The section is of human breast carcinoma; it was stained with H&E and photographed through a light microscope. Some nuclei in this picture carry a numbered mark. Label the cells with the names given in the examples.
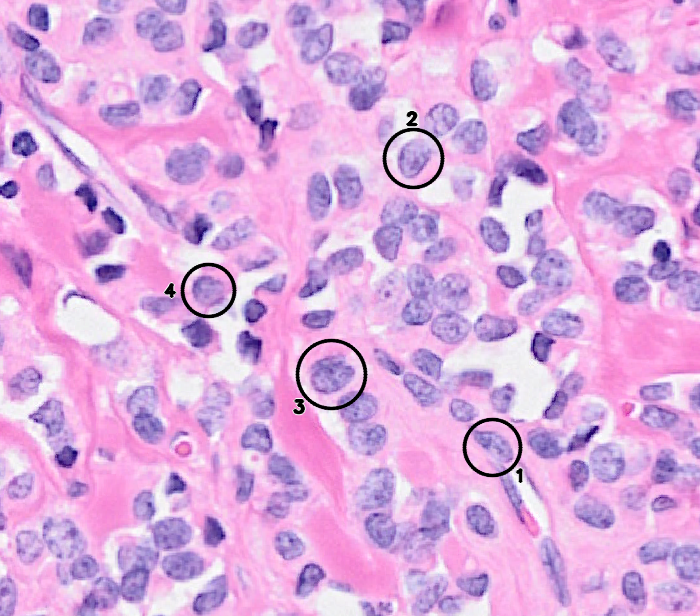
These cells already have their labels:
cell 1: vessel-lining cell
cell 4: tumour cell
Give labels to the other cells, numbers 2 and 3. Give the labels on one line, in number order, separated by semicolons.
tumour cell; tumour cell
